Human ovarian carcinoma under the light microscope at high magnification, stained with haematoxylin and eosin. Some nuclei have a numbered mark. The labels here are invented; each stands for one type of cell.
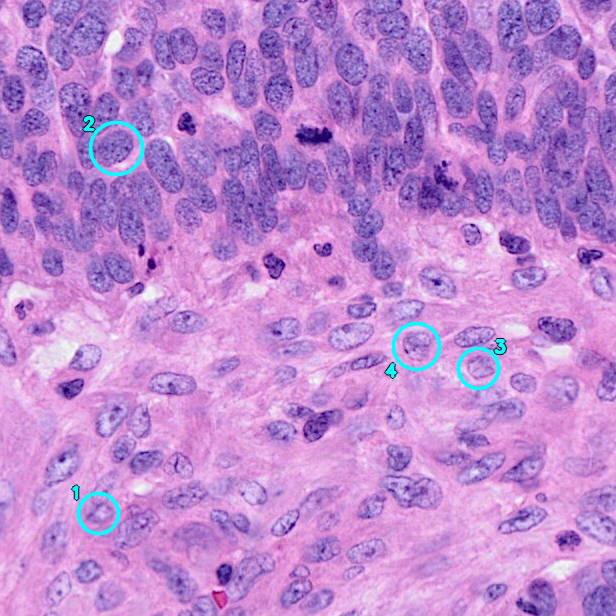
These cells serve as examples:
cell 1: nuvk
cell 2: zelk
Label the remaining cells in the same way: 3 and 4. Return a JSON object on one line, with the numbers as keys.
{"3": "nuvk", "4": "nuvk"}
